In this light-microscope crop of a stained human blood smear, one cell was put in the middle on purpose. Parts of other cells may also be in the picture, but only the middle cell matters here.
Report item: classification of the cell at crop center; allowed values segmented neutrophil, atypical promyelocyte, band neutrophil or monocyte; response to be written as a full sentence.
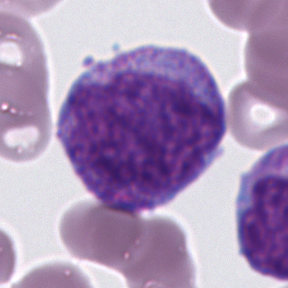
This crop is built around an atypical promyelocyte at its centre.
